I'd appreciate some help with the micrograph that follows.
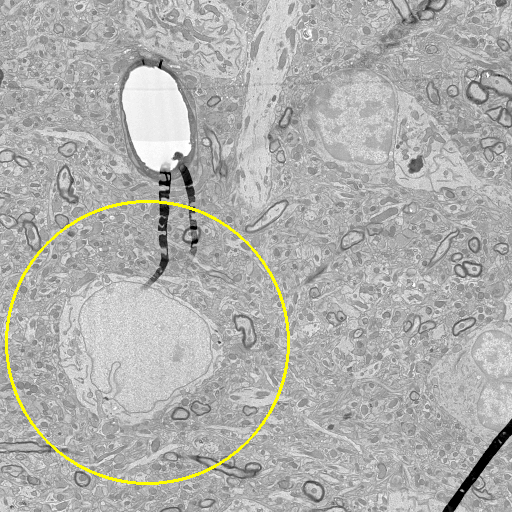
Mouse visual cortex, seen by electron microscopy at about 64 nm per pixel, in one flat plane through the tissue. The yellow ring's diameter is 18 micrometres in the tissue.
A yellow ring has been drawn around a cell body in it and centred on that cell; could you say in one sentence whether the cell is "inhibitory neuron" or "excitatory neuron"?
It is an inhibitory neuron at the centre of the ring.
